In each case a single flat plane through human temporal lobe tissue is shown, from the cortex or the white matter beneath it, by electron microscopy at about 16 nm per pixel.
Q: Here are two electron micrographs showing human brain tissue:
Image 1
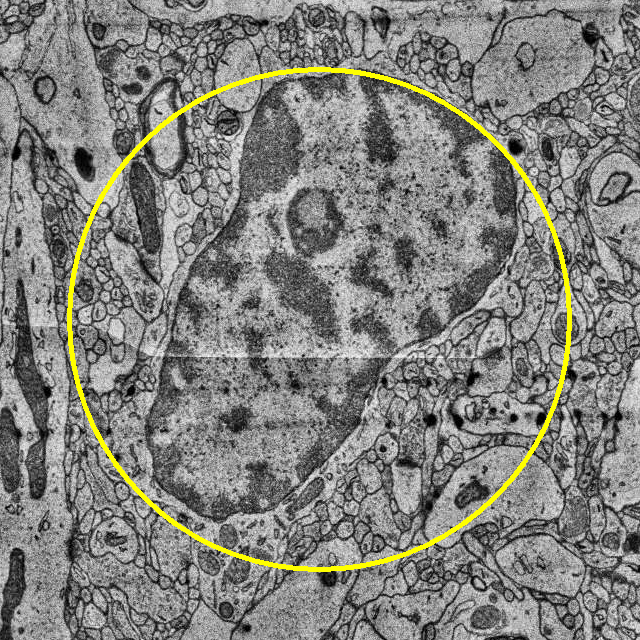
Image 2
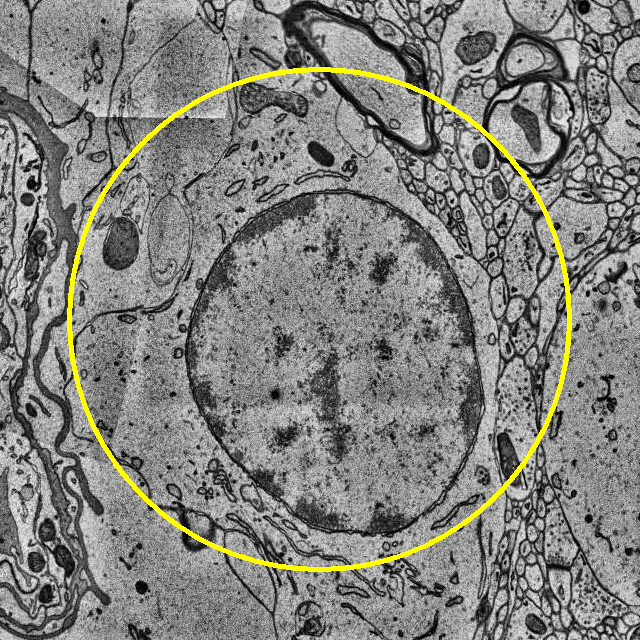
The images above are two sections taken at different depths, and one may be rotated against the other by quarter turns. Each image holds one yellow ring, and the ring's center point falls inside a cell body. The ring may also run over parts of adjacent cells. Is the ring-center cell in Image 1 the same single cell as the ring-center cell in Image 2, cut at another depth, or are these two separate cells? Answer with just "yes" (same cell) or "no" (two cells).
no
